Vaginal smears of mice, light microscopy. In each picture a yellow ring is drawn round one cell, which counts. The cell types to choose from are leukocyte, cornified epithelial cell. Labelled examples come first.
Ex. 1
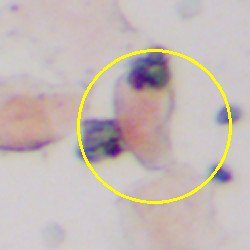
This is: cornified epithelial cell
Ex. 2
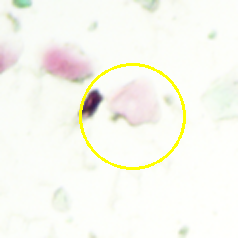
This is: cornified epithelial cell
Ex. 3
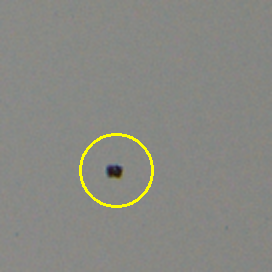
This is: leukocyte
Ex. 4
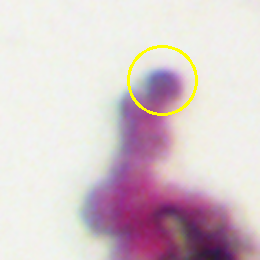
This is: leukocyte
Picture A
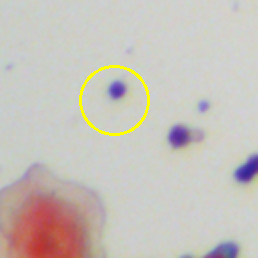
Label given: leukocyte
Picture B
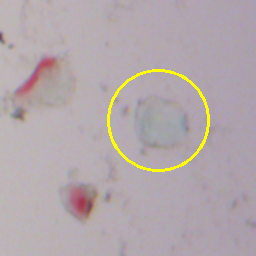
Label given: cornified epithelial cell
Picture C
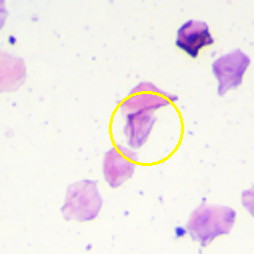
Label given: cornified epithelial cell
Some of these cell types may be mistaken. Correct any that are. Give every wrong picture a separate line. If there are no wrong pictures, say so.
Every label is right.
